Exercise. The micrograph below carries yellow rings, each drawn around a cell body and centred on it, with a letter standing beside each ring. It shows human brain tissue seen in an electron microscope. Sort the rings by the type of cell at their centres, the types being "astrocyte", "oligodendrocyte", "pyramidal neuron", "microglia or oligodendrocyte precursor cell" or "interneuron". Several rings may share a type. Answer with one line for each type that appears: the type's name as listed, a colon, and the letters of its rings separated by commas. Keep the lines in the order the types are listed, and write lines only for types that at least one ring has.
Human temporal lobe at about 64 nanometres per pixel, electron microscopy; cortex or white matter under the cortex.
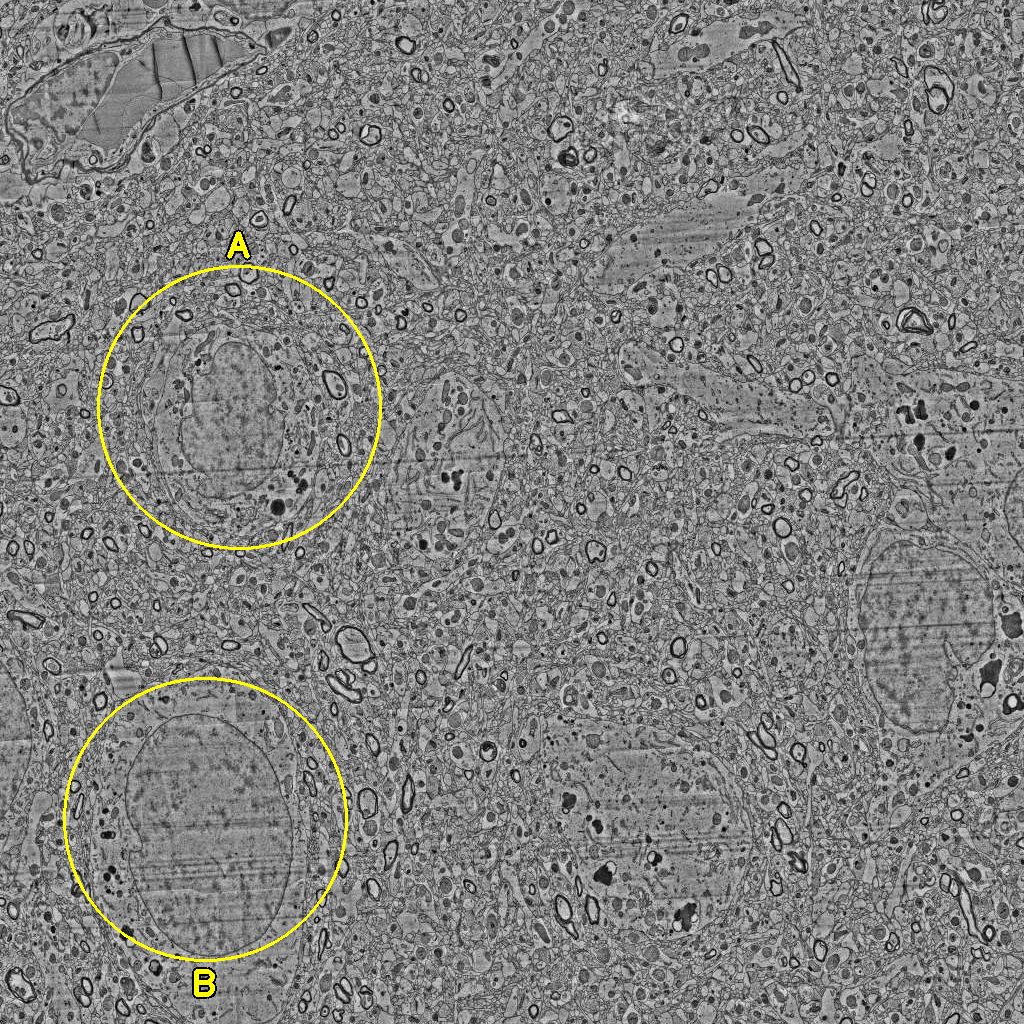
pyramidal neuron: B
interneuron: A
